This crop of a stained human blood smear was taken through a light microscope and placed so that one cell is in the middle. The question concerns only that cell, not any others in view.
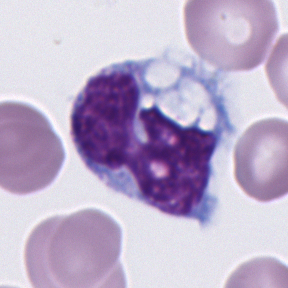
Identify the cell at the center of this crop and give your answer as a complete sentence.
On this slide crop, the central cell is a monocyte.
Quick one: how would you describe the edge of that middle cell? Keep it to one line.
The boundary of the cell runs irregularly, ragged in parts or drawn into projections.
